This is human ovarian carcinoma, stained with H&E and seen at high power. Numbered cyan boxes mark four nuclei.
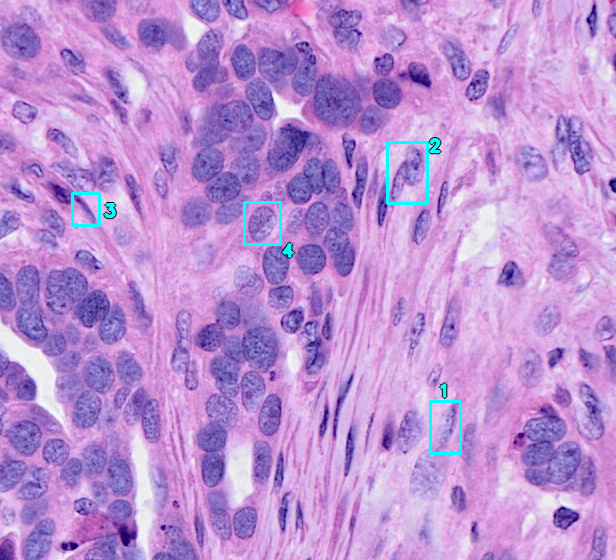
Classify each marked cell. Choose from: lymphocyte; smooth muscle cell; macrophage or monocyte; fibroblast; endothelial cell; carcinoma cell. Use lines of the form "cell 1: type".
cell 1: fibroblast
cell 2: fibroblast
cell 3: fibroblast
cell 4: carcinoma cell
